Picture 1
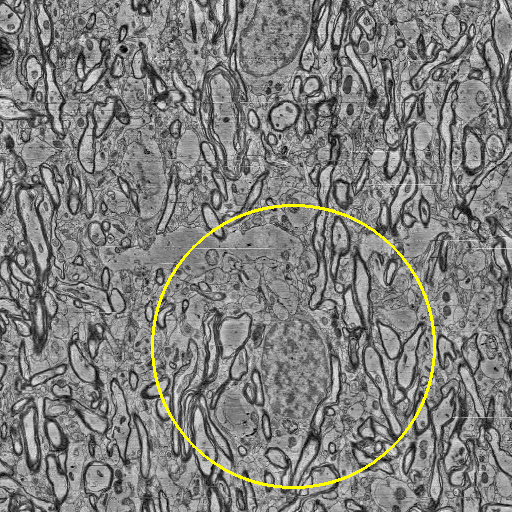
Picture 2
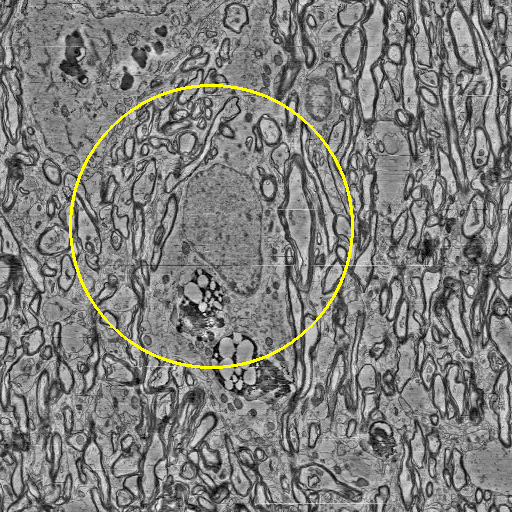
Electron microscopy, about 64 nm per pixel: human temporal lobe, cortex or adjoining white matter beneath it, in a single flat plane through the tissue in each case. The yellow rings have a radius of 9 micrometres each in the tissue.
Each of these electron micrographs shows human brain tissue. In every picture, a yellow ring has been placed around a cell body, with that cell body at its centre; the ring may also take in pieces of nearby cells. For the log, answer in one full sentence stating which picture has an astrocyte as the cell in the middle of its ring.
In picture 2, the cell at the centre of the yellow ring is the requested one.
